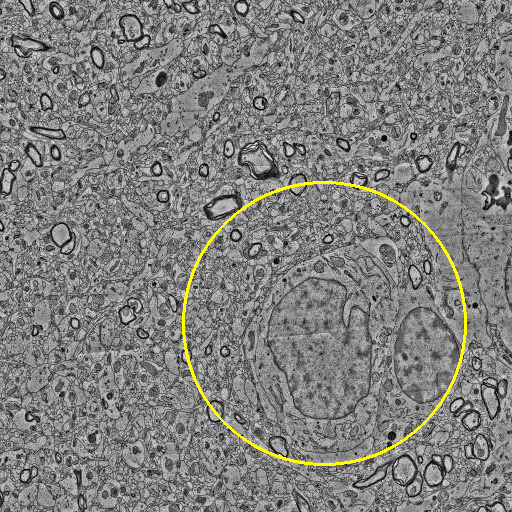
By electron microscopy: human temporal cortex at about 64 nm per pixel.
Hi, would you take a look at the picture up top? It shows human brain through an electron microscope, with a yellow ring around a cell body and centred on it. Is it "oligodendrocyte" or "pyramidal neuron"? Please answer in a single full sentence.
The best fit for the cell in the middle of the ring is a pyramidal neuron, I reckon.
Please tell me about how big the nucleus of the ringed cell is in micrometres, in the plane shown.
About 9 by 7 micrometres in this plane.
